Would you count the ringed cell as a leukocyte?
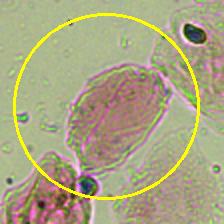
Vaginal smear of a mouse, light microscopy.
No, I would count it as a cornified epithelial cell.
